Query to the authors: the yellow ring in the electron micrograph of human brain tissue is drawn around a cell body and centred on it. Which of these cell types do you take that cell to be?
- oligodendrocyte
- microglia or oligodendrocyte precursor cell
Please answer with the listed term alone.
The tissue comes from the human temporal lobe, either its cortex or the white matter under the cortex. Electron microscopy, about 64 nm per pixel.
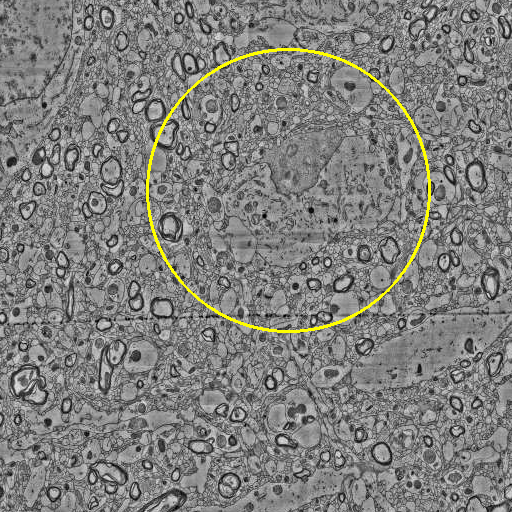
oligodendrocyte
